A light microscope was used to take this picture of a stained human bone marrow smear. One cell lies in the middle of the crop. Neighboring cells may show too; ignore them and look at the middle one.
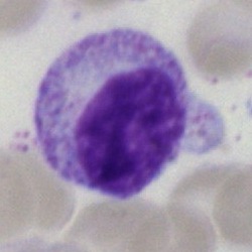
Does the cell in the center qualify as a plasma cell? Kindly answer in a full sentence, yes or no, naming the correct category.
No, the cell in the middle is a myelocyte, not a plasma cell.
